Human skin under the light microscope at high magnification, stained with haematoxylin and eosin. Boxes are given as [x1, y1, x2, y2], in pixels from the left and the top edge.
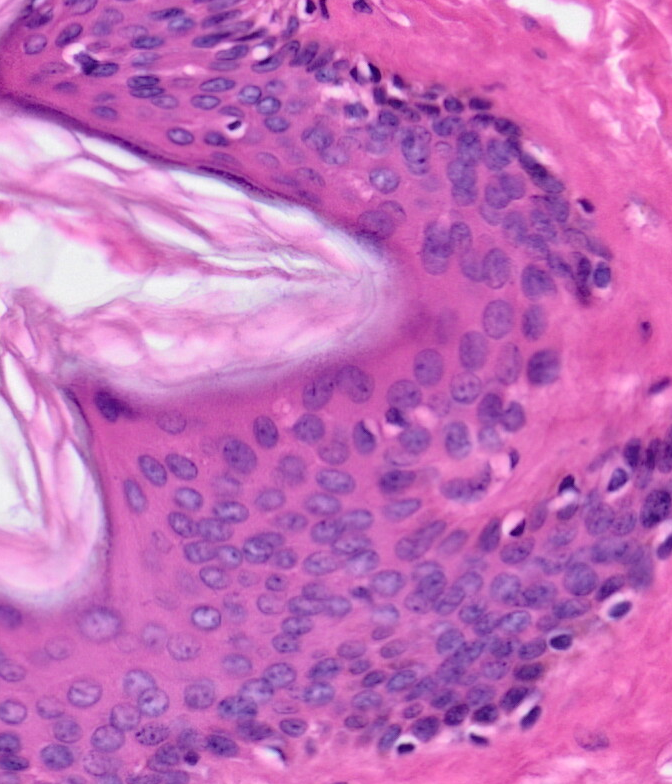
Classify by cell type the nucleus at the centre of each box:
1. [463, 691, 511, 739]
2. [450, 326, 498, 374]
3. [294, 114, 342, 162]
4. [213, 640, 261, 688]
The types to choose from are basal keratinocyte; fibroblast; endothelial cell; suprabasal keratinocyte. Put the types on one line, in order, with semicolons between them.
basal keratinocyte; suprabasal keratinocyte; suprabasal keratinocyte; suprabasal keratinocyte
